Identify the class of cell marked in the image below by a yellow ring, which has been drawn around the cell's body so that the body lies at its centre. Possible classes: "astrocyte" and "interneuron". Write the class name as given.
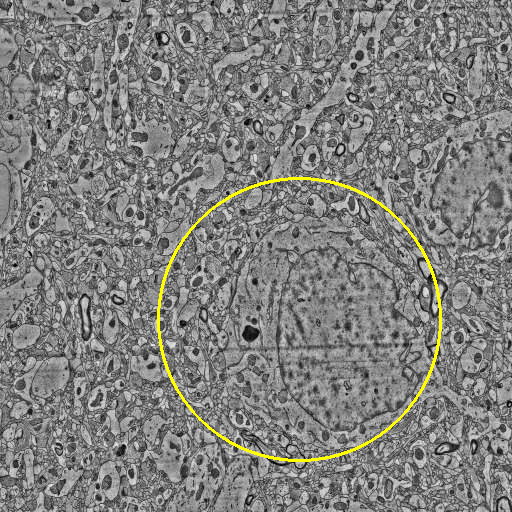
interneuron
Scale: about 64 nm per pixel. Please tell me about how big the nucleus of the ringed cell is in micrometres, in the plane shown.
In this plane the nucleus is about 12 micrometres by 9.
